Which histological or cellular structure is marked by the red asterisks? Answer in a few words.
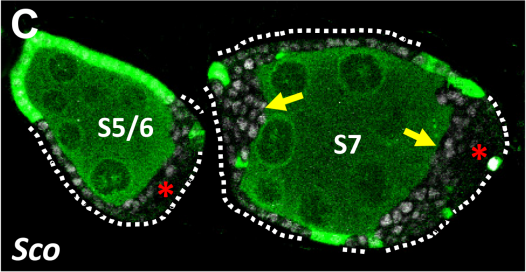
Outer layers of ectopic follicle cells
